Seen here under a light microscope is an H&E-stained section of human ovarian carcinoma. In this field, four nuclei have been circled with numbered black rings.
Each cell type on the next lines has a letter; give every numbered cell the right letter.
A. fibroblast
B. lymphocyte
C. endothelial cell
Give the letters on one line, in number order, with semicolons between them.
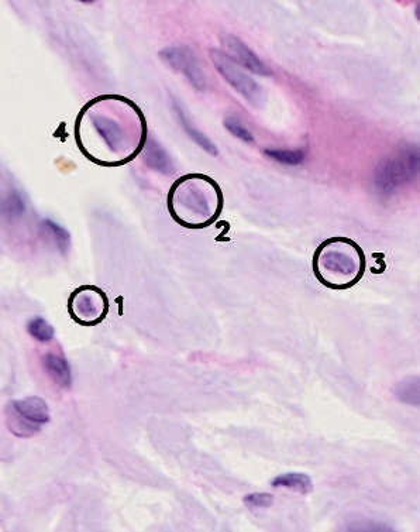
B; A; B; C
